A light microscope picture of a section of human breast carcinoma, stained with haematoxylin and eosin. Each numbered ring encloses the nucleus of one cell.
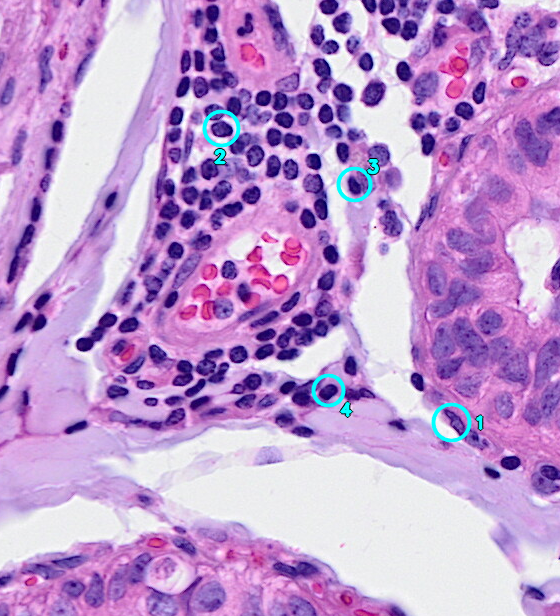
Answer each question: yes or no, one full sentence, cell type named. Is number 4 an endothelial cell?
No, in terms of cell type, cell 4 is a lymphocyte, not an endothelial cell.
